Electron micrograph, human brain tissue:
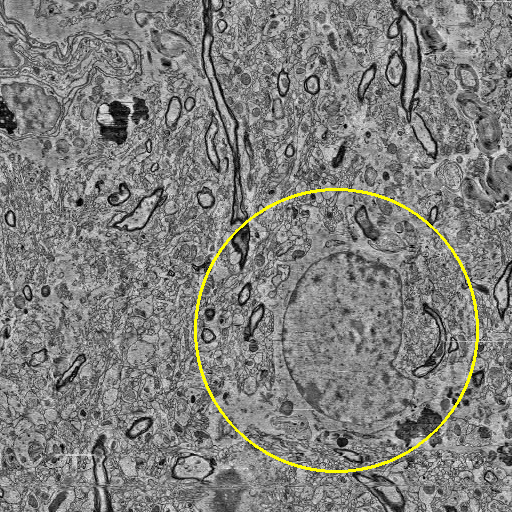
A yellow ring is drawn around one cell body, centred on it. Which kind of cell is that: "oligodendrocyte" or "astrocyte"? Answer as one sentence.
It is an astrocyte at the centre of the ring.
